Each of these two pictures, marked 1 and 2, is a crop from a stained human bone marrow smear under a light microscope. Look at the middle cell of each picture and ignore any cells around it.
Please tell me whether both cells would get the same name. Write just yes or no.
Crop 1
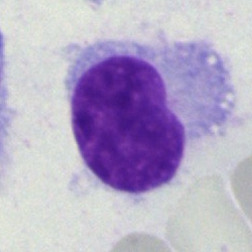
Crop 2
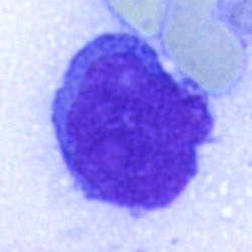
no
